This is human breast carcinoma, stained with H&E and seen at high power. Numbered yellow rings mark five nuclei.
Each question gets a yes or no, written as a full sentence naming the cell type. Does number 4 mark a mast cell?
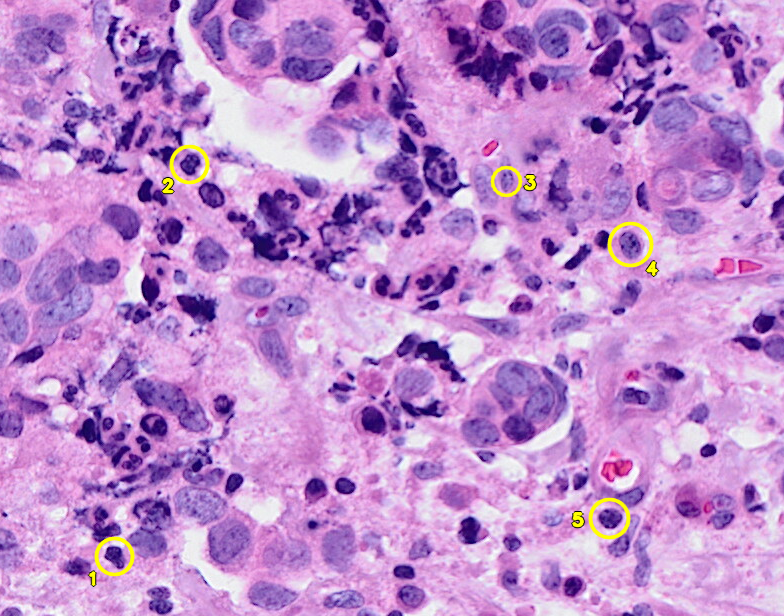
Yes, the cell that bears the number 4 is a mast cell.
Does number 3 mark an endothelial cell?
Yes, number 3 marks a cell that is an endothelial cell.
